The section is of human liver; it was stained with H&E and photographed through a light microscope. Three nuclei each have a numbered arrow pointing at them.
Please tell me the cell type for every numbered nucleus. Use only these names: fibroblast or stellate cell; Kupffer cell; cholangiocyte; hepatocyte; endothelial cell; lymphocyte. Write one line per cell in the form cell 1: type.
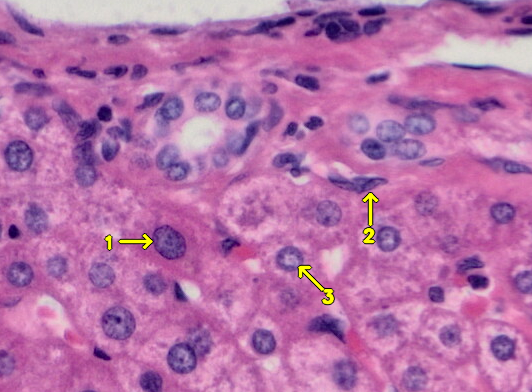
cell 1: hepatocyte
cell 2: fibroblast or stellate cell
cell 3: hepatocyte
